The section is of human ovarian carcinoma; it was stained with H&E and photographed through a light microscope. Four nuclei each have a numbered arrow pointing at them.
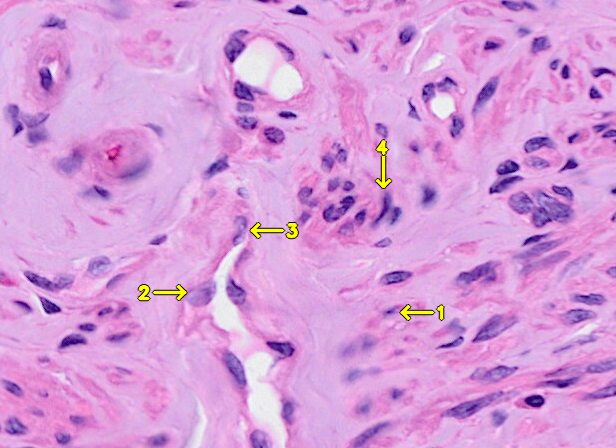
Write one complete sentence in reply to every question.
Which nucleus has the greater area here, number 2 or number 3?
Nucleus 2 is larger, with an area about 1.5 times that of nucleus 3.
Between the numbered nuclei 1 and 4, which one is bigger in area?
It is nucleus 4, which covers about 3 times the area of nucleus 1.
